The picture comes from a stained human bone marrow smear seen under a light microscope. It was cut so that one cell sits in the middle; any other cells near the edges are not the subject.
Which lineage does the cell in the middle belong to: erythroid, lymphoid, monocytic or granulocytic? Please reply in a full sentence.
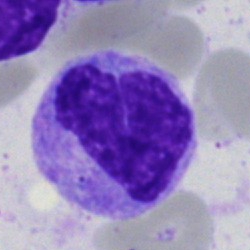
As for the cell in the middle, its lineage is monocytic.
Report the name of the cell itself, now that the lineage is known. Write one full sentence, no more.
This particular crop is centered on a monocyte.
